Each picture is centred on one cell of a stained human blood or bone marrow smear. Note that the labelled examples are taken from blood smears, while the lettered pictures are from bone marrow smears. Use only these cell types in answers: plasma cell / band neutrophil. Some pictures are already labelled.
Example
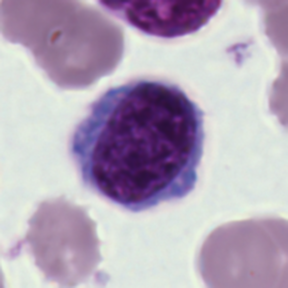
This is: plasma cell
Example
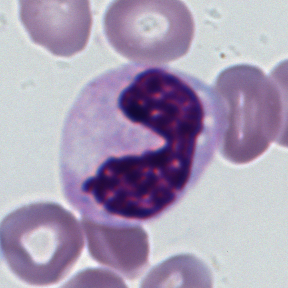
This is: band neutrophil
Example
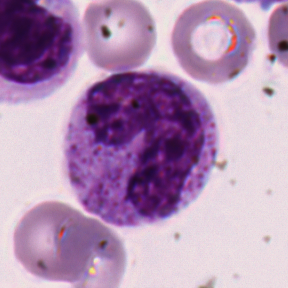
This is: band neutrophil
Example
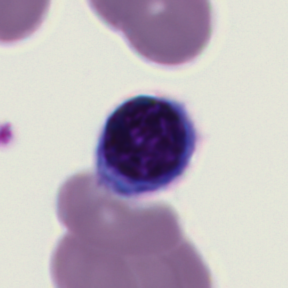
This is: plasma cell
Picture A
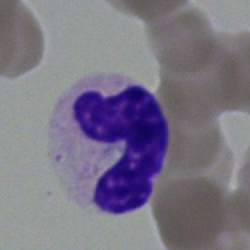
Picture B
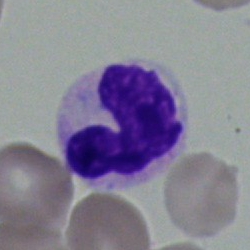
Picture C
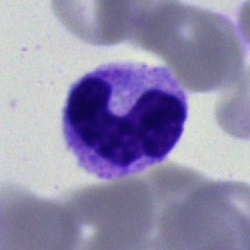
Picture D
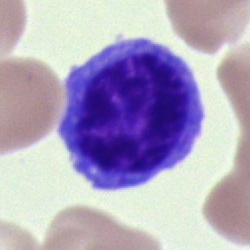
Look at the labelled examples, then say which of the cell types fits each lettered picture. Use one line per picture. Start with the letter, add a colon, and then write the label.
A: band neutrophil
B: band neutrophil
C: band neutrophil
D: plasma cell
